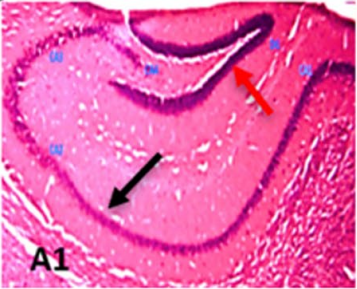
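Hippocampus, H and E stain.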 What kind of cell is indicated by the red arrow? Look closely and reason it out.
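Granule cells. Arrow points to a dense dark V-shaped band of small cells. This band is the inner folded layer, thicker and darker than the outer band.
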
